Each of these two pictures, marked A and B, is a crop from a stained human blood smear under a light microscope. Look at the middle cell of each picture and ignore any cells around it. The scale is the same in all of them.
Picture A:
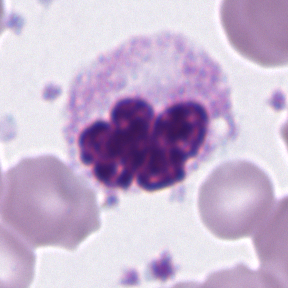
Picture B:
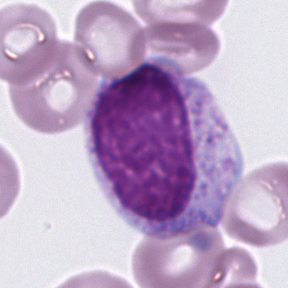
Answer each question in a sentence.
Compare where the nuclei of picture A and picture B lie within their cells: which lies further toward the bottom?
The nucleus in picture A lies further toward the bottom of its cell.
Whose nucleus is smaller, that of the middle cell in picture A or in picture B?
Picture A shows the smaller nucleus, since that in picture B covers about 1.5 times as much area.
